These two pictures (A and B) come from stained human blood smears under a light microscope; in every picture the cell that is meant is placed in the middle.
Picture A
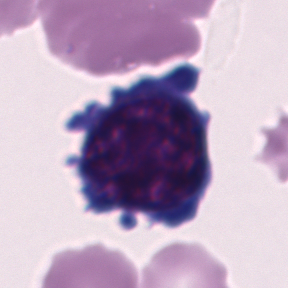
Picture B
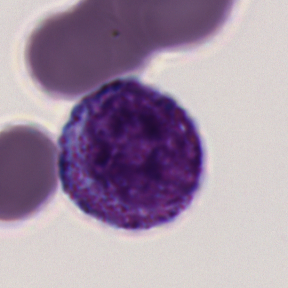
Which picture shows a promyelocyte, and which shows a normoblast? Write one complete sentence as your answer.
In picture A the cell is a normoblast; in picture B, a promyelocyte.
